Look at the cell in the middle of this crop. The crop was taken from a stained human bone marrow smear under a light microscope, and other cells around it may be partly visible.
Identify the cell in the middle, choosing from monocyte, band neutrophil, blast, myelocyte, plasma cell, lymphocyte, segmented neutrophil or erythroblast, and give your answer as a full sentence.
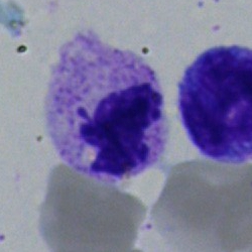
The centered cell in this crop is a segmented neutrophil.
